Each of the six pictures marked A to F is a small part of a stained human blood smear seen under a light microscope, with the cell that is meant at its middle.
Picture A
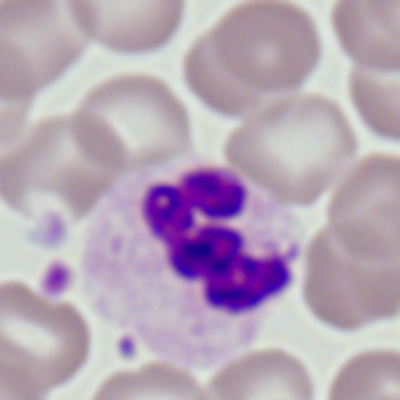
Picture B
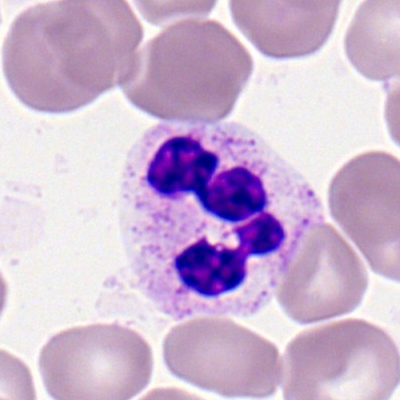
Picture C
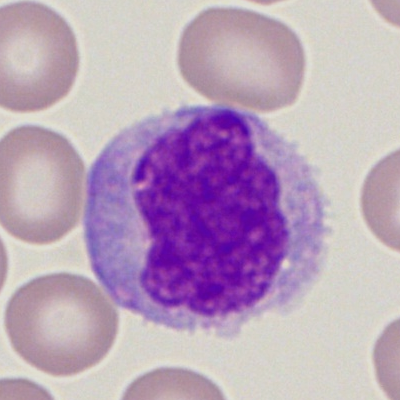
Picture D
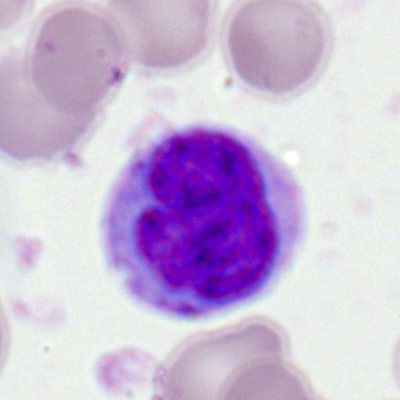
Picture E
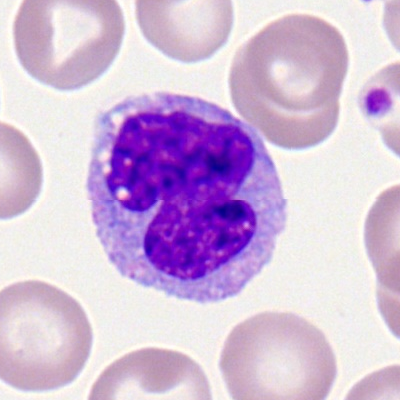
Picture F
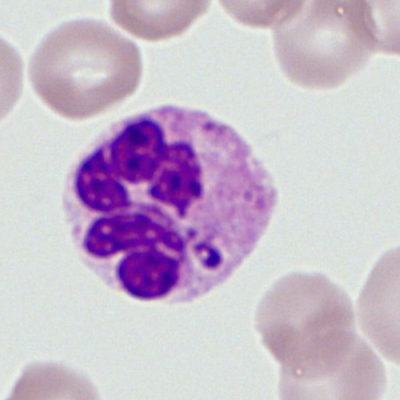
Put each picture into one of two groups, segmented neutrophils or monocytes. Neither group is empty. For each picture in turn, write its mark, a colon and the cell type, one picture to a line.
A: segmented neutrophil
B: segmented neutrophil
C: monocyte
D: monocyte
E: monocyte
F: segmented neutrophil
